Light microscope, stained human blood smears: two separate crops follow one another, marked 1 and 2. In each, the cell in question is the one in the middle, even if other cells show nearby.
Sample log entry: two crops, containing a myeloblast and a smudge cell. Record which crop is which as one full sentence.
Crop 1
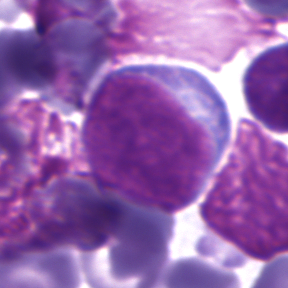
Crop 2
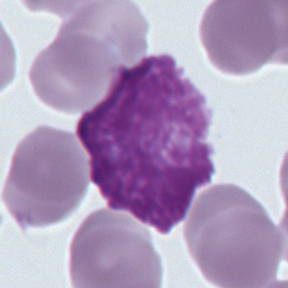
Crop 1 presents a myeloblast, and crop 2 presents a smudge cell.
